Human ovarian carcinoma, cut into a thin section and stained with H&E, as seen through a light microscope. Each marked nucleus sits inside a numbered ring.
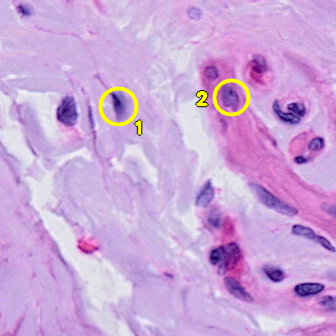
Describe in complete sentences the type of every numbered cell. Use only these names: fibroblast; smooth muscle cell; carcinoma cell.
Cell 1 is a fibroblast. Cell 2 is a smooth muscle cell.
